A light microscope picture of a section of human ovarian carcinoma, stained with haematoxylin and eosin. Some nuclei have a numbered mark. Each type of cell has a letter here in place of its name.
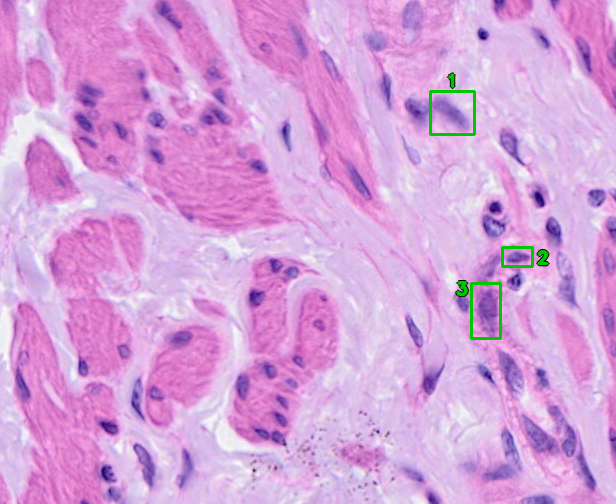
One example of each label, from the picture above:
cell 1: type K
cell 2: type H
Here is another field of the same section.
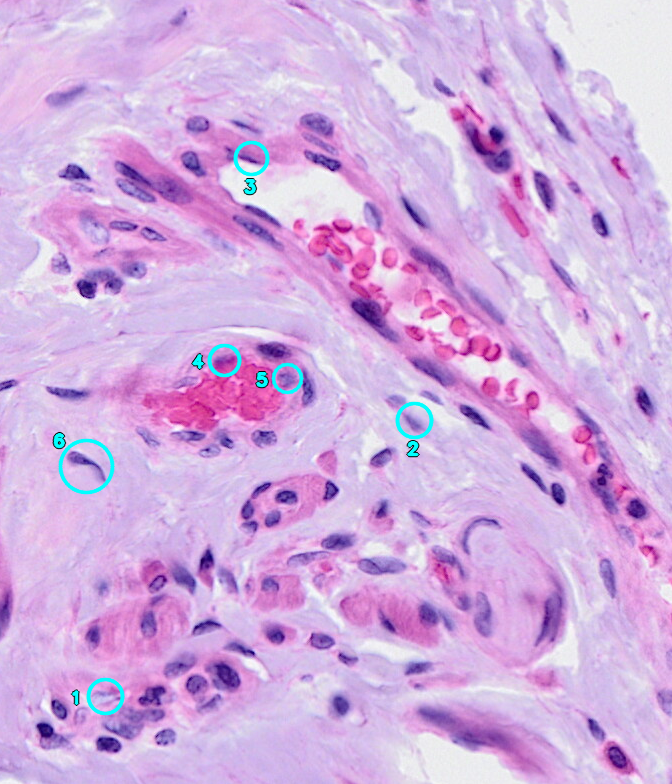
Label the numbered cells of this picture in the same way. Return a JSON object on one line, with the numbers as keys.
{"1": "type H", "2": "type K", "3": "type H", "4": "type H", "5": "type H", "6": "type K"}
